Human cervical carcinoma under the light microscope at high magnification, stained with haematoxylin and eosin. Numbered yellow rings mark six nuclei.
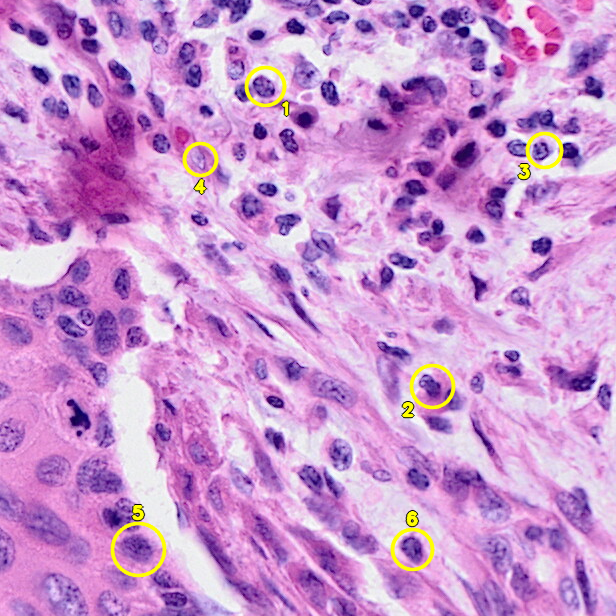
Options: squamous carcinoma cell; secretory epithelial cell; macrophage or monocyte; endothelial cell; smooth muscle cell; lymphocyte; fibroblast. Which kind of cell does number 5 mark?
squamous carcinoma cell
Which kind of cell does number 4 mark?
endothelial cell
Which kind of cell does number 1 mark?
lymphocyte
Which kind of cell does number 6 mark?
lymphocyte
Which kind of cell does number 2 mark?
lymphocyte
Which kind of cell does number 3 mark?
lymphocyte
